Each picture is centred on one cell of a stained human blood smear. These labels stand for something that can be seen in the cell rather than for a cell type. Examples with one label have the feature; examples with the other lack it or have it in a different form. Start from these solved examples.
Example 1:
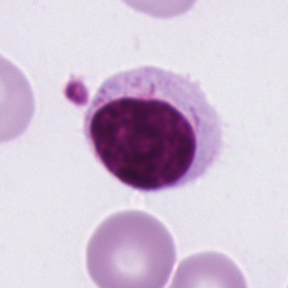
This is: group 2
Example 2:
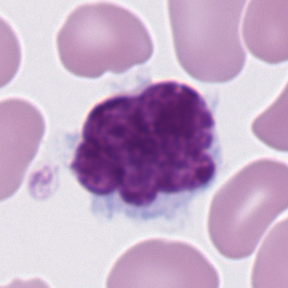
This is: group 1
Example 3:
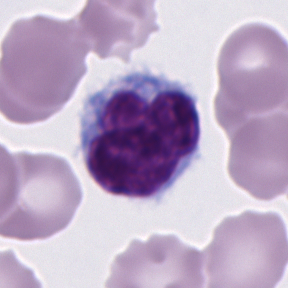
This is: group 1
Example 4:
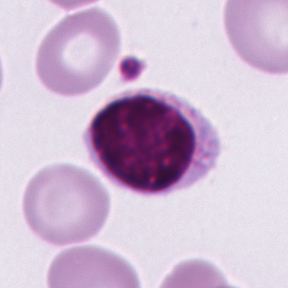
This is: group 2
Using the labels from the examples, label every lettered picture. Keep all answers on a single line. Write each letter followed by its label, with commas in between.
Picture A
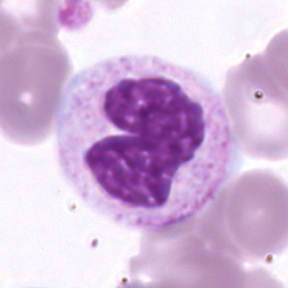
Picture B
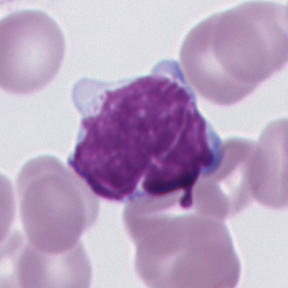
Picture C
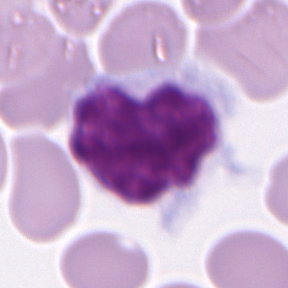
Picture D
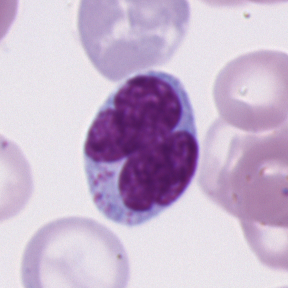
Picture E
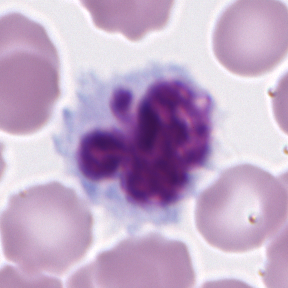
A group 1, B group 1, C group 1, D group 1, E group 1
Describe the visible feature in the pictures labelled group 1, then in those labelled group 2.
Seen in group 1: lobed nucleus; seen in group 2: single compact nucleus.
